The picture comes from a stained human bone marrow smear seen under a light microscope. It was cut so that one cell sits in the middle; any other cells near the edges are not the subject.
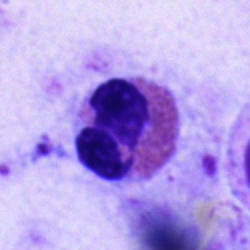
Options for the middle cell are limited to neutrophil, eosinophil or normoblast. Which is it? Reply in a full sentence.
Here the centrally located cell is an eosinophil.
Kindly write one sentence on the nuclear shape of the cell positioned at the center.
Its nucleus is lobed, with at least two separate segments.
